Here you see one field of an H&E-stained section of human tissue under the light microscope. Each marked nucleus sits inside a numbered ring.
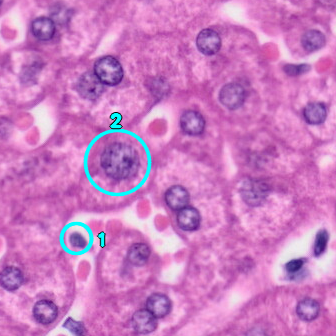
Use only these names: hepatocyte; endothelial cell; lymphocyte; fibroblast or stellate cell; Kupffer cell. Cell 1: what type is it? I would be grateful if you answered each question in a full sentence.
The one labeled 1 is a lymphocyte, to put it simply.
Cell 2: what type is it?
Of the numbered cells, the one labelled 2 is a hepatocyte.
